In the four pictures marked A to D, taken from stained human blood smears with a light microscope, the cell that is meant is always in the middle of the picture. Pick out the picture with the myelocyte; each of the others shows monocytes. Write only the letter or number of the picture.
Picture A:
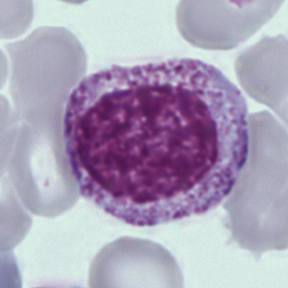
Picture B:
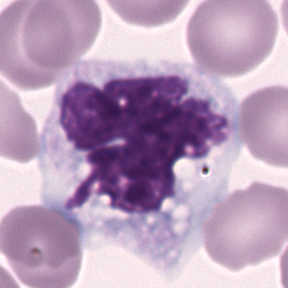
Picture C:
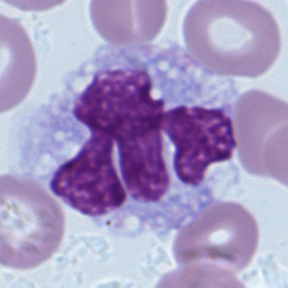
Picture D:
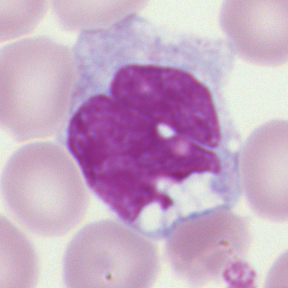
A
